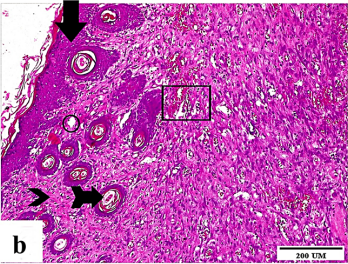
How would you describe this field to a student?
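This is skin with a purple epidermis along the left edge and hair follicles scattered in the upper dermis. The follicles appear as round epithelial profiles with central hair shafts. The dermis below is composed of pink connective tissue with many elongated nuclei, giving a cellular, streaming appearance. In places the connective tissue looks loose with pale spaces, and scattered reddish elements lie between the fibres.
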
